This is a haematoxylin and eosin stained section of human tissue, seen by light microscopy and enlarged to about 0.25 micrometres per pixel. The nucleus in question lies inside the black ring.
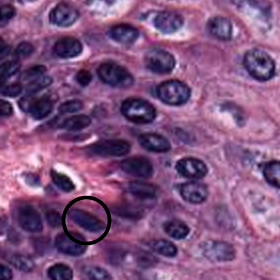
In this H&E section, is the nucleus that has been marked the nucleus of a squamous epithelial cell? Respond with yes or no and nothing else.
yes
